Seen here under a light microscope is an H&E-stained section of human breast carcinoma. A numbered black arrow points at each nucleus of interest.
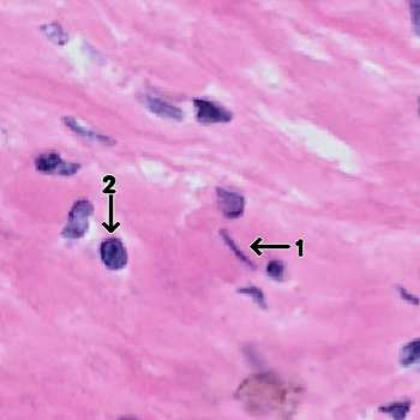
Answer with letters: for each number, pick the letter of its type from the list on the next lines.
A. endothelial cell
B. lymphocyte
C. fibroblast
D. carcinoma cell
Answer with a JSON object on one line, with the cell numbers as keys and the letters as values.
{"1": "C", "2": "B"}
